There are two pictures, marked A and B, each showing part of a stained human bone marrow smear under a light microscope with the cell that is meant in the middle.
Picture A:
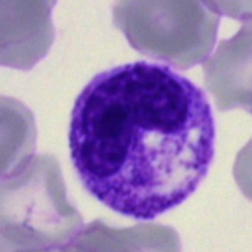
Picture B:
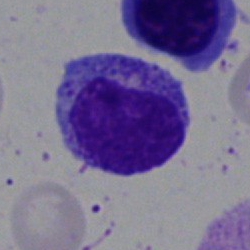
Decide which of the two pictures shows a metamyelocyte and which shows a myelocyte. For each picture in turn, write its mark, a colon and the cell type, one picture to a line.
A: metamyelocyte
B: myelocyte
